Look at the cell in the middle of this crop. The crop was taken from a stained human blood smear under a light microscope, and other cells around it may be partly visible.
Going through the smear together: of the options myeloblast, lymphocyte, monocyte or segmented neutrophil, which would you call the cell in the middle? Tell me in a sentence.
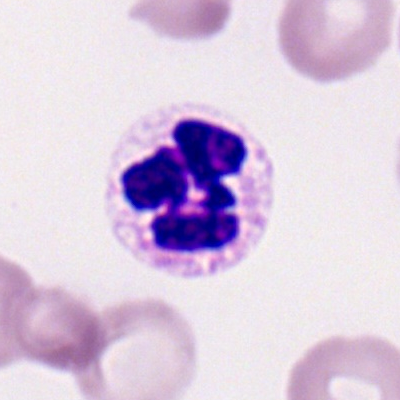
The cell occupying the middle of the crop is a segmented neutrophil.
